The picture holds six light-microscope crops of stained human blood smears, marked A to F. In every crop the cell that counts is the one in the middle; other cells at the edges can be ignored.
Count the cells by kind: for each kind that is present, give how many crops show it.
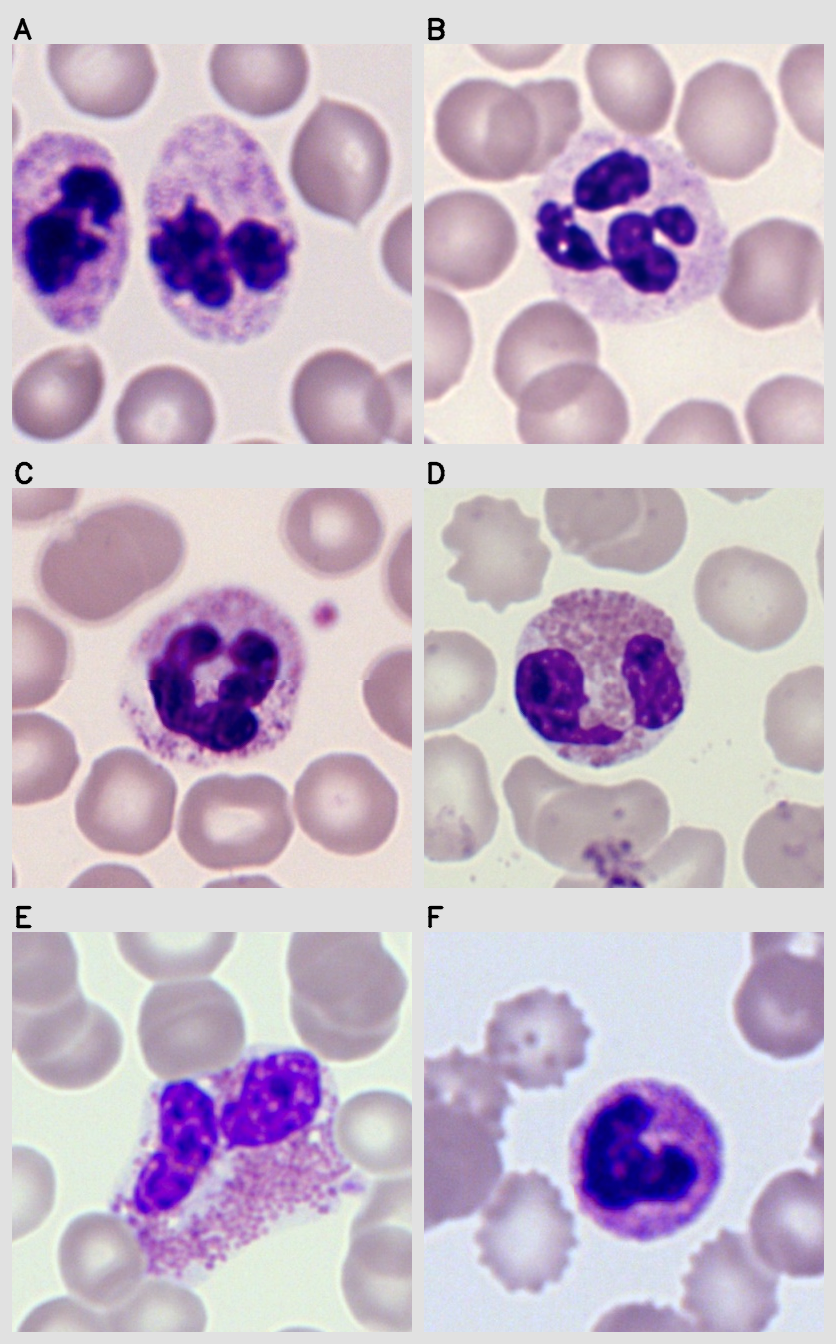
segmented neutrophil: 4
eosinophil: 2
